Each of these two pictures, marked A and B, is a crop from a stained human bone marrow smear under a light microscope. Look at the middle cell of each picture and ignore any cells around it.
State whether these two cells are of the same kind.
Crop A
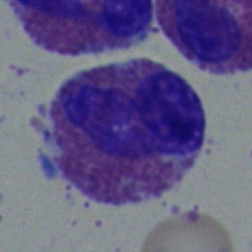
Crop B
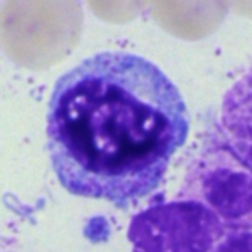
no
